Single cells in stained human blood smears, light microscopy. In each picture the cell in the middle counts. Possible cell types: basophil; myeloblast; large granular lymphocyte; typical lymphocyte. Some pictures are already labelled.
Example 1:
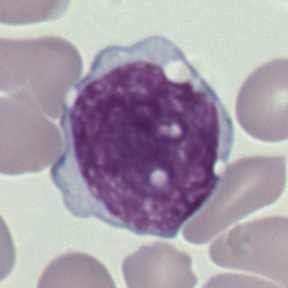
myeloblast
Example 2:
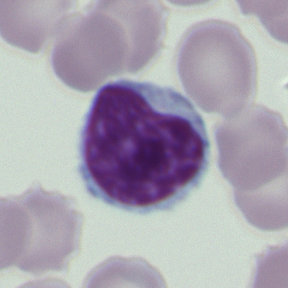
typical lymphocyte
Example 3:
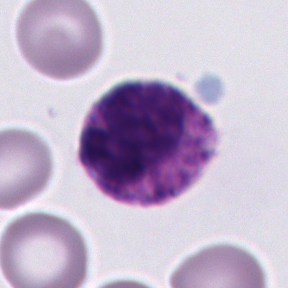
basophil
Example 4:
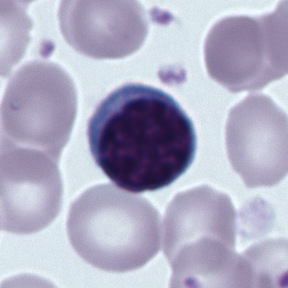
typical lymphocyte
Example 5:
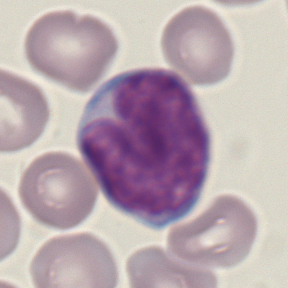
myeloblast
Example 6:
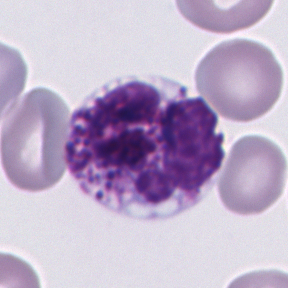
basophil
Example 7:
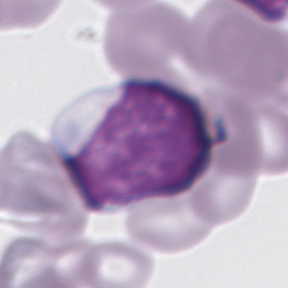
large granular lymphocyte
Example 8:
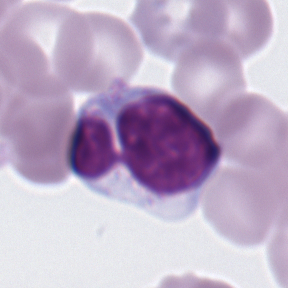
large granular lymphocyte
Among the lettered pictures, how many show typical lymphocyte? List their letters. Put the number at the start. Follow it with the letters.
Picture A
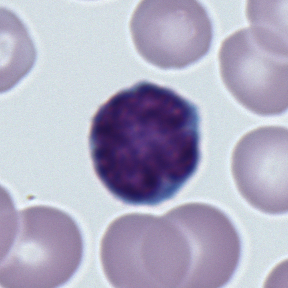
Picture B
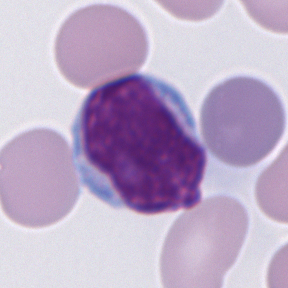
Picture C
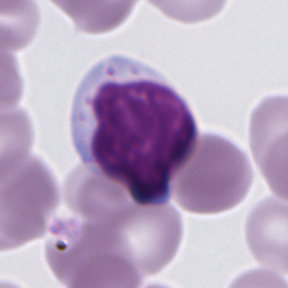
2, namely A, B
